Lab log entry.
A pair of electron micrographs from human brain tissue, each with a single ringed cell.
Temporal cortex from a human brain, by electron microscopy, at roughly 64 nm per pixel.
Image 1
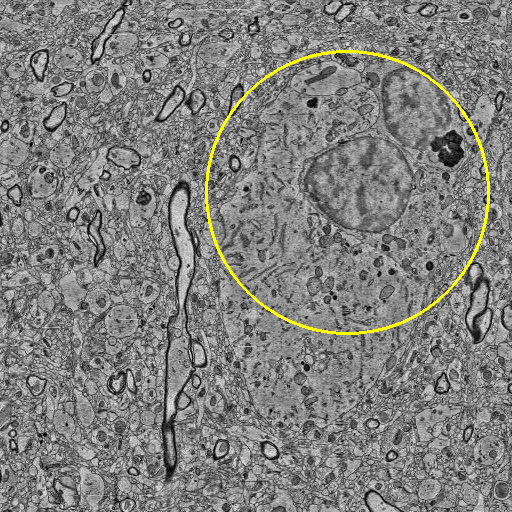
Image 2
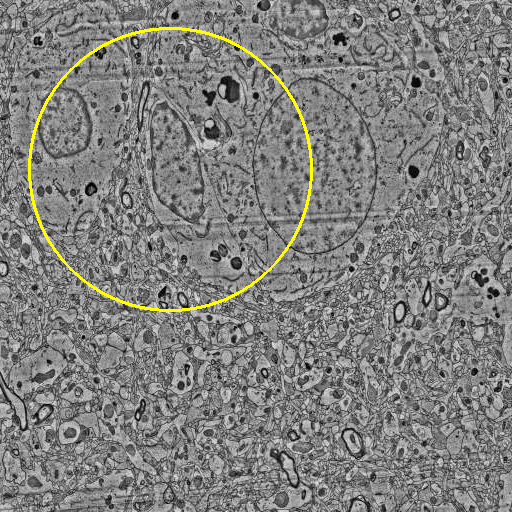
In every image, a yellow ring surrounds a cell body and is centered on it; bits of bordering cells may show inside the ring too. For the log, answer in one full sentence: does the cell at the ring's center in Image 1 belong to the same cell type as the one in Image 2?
No, the cells at the ring centers in Image 1 and Image 2 are of separate types.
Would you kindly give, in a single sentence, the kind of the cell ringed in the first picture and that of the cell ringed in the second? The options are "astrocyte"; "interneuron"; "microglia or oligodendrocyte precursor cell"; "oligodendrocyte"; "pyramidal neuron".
The second cell is a microglial cell or oligodendrocyte precursor cell, and the first cell is an oligodendrocyte.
